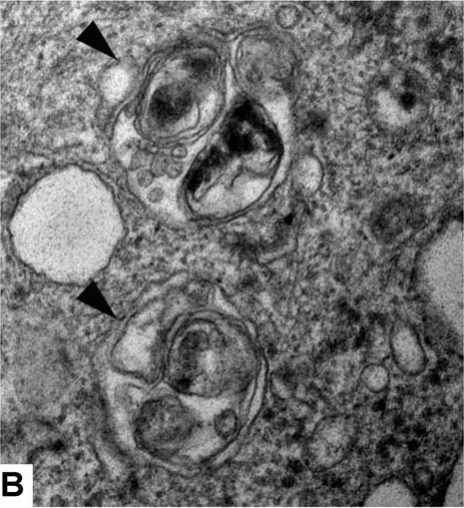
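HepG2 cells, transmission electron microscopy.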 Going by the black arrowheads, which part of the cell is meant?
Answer: Multimembranous autophagic vacuoles.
